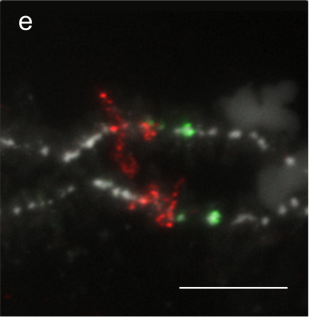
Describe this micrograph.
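Part of a lampbrush chromosome with two parallel beaded axes of grey chromomeres. Red labelled lateral loops spread out as twisted threads between and beyond the axes, while the green label stays as compact dots lying on the axes.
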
